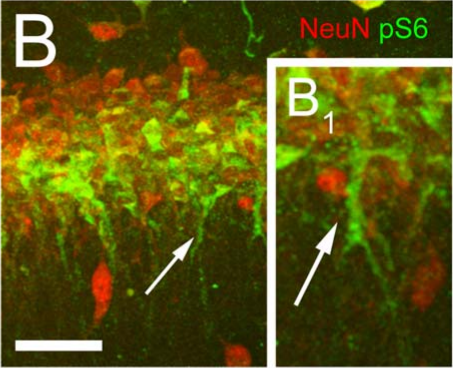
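Here is the pyramidal cell layer of the hippocampus: a dense band of closely packed neuron cell bodies running across the field, with red nuclei and green cytoplasm. Below the band, many bright green slender processes descend roughly in parallel, the dendrites of these pyramidal neurons, giving a combed, striated look. Scattered red cell bodies lie outside the band above and below. The enlarged inset shows a single cell whose bright green dendrite tapers away from its body, next to a red-only nucleus.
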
